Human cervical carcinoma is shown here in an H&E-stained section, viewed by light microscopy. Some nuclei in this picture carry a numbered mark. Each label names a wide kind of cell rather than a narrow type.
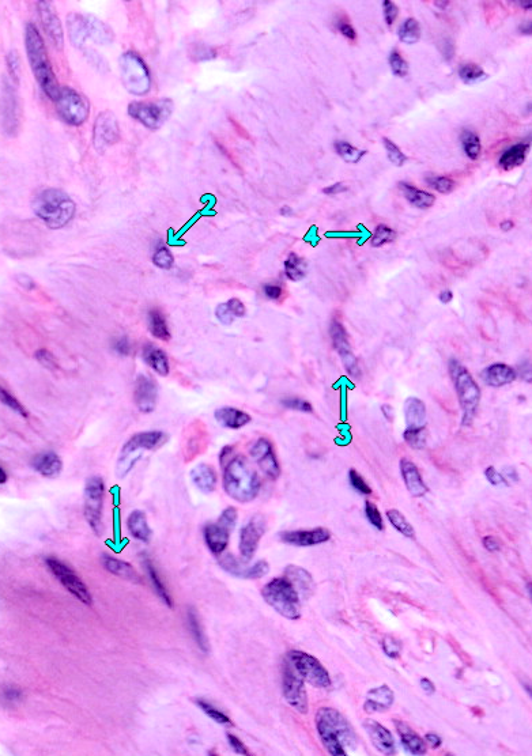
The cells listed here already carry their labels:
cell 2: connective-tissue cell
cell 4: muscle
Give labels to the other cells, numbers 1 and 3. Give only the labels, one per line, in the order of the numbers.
connective-tissue cell
muscle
